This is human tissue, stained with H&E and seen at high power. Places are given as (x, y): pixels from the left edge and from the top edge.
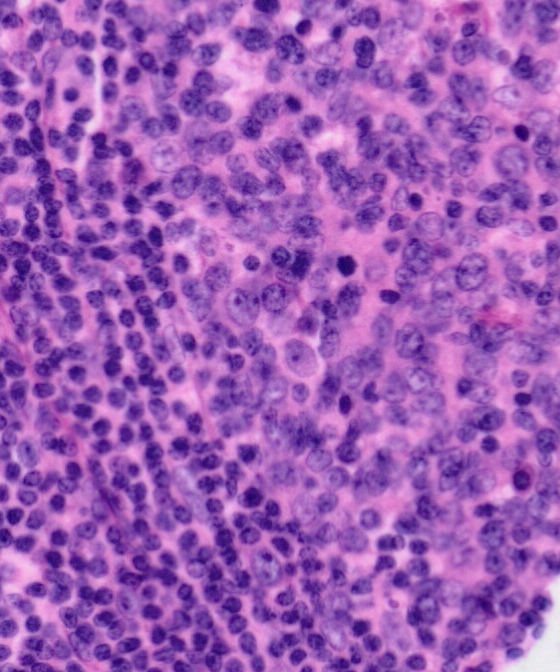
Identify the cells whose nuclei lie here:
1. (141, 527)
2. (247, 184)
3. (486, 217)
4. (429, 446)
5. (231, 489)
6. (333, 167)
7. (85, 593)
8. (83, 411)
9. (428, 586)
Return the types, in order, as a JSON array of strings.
["small lymphocyte", "proliferating B cell", "proliferating B cell", "proliferating B cell", "small lymphocyte", "proliferating B cell", "small lymphocyte", "small lymphocyte", "proliferating B cell"]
